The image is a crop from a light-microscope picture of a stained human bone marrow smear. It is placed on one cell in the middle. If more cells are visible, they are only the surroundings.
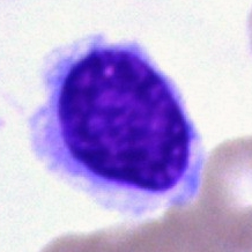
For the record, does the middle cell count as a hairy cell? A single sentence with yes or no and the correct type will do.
Yes, the cell positioned in the middle is a hairy cell.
